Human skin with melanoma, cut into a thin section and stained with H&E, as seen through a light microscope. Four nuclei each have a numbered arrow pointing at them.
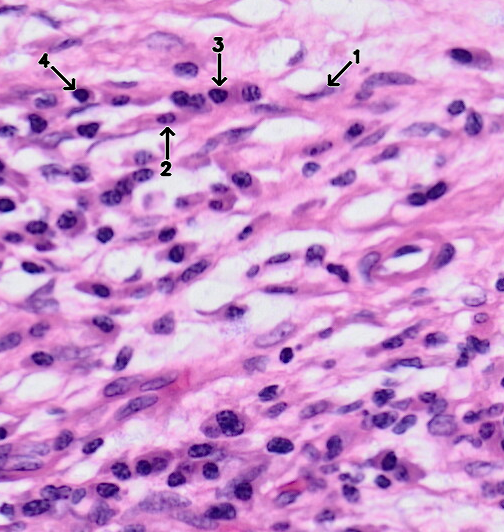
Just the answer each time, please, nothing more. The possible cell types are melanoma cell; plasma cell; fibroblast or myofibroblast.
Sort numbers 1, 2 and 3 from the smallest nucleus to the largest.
2, 3, 1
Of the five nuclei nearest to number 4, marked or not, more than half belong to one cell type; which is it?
fibroblast or myofibroblast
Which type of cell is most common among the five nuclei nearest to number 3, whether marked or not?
plasma cell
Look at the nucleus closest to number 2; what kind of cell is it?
plasma cell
